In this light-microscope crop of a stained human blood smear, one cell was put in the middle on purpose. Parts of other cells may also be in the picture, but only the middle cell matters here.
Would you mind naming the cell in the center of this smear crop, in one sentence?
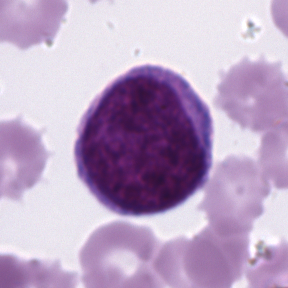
As for the central cell, it is a myeloblast.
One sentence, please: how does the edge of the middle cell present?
No surface projections are present; the cell outline is smooth.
